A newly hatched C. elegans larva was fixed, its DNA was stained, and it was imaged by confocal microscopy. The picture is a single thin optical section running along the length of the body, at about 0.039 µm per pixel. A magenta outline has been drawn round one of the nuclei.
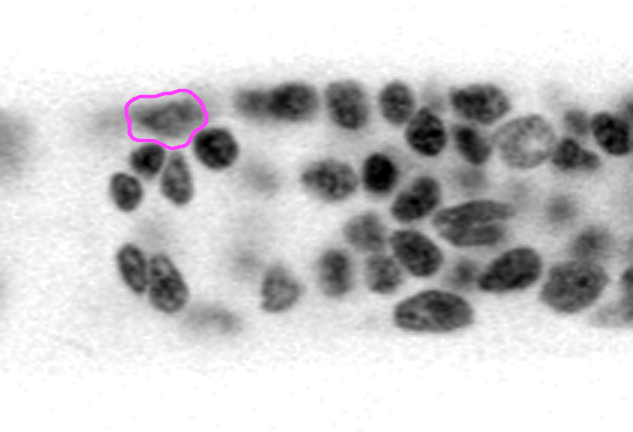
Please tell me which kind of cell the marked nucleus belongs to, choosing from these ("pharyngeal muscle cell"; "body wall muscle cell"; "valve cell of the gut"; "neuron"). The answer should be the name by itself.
body wall muscle cell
